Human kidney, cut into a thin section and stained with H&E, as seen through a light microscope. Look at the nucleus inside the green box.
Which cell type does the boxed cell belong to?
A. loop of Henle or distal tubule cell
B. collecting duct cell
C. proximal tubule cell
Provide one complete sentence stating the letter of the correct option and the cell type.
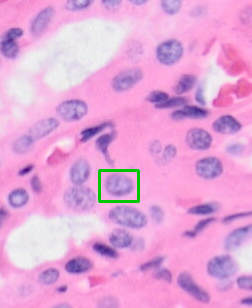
Exactly as option B gives it, the boxed cell is a collecting duct cell.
